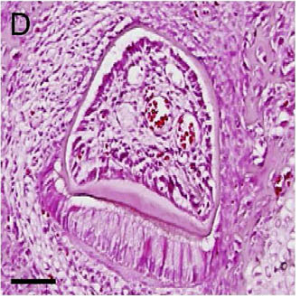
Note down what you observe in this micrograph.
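This is a section through a developing incisor tooth germ, an enamel organ wrapped around a core of dental mesenchyme. Along one side the epithelium forms a tall palisade of columnar cells standing side by side, their nuclei lined up away from the core. Between these cells and the core runs a smooth, glassy pink band of matrix, partly pulled away as a clear cleft. The core itself is loose, with scattered pale cells and clusters of small red blood cells. Around the whole germ lies denser, more fibrous tissue stained pink and purple.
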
